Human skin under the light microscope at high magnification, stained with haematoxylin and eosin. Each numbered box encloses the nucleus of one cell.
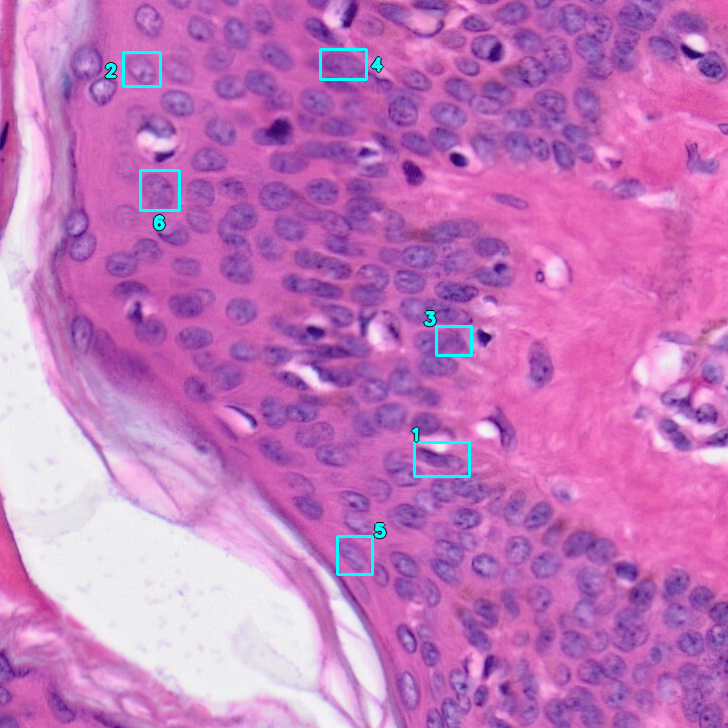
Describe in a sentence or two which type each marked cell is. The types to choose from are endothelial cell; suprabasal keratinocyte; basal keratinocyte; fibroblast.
Cells 1, 3 and 4 are basal keratinocytes. Cells 2, 5 and 6 are suprabasal keratinocytes.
